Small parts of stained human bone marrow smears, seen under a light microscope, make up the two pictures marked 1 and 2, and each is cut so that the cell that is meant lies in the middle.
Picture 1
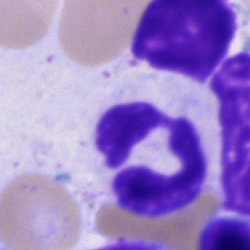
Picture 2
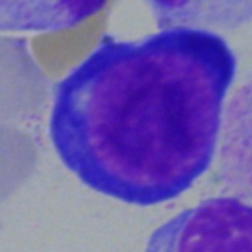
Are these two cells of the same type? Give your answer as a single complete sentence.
No, picture 1 shows a segmented neutrophil and picture 2 shows a proerythroblast.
